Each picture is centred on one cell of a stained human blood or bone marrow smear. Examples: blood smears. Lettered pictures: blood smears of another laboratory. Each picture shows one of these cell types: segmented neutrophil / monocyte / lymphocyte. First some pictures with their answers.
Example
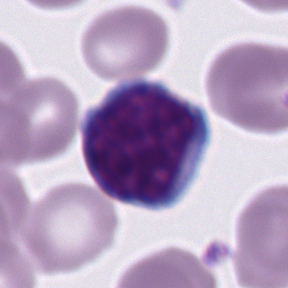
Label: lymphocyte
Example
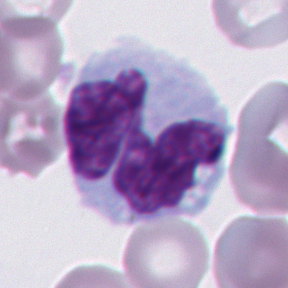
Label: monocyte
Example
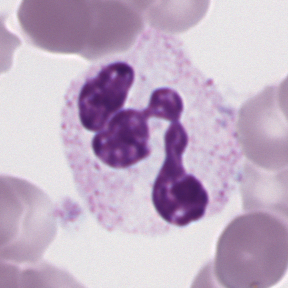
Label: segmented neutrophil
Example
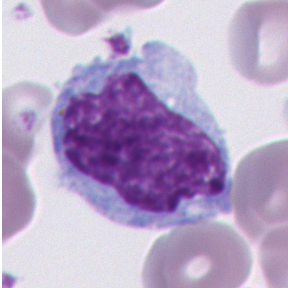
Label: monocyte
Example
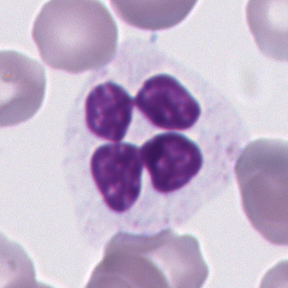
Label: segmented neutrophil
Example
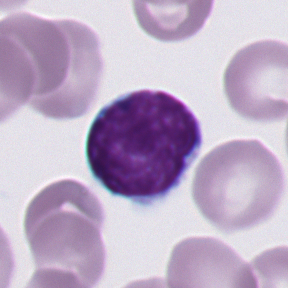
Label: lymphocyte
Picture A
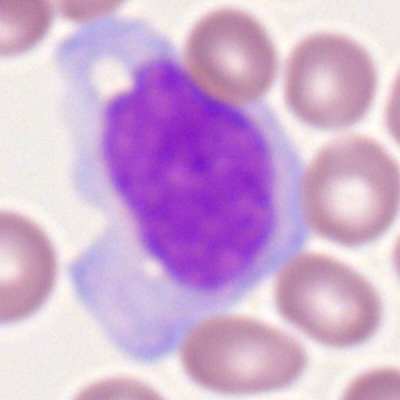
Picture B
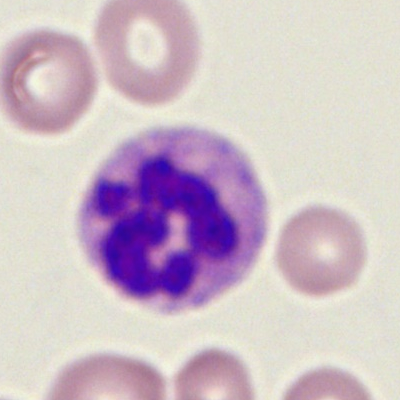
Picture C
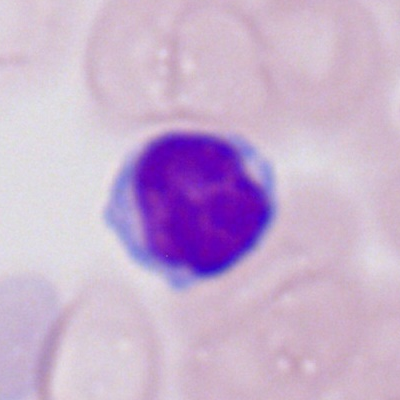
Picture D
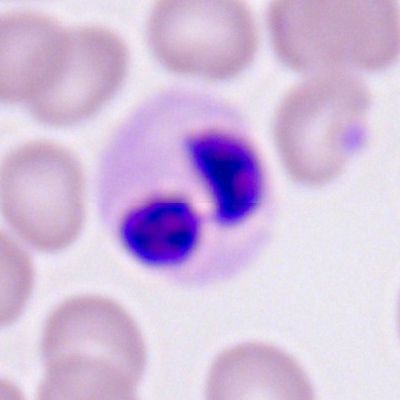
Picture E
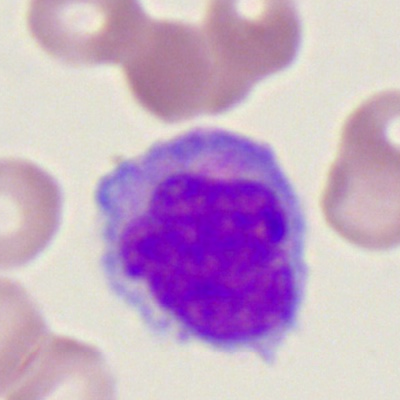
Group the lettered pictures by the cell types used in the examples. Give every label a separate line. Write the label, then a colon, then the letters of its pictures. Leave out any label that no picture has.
segmented neutrophil: B, D
monocyte: A, E
lymphocyte: C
